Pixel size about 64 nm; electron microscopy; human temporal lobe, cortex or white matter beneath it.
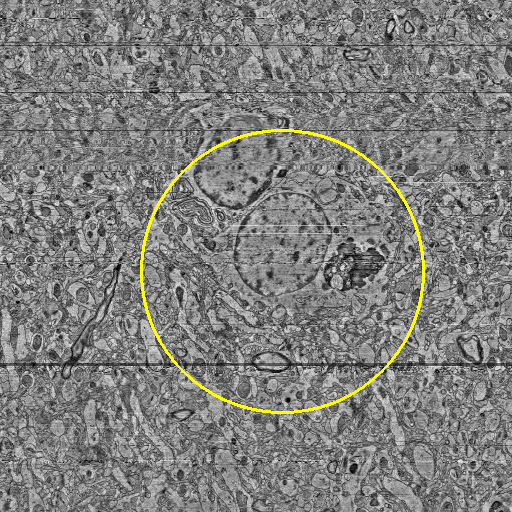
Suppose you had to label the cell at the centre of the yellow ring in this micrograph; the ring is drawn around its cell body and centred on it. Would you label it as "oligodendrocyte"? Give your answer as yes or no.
No, I would label it as another kind.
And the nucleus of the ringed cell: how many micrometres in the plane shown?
Roughly 7 micrometres by 6 micrometres, in this plane.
